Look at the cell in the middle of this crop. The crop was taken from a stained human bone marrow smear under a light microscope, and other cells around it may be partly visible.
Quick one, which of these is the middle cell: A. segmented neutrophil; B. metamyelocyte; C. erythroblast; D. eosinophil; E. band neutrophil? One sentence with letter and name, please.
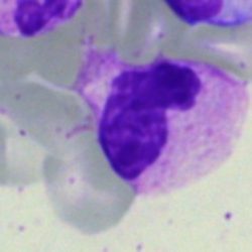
The cell placed in the middle is a segmented neutrophil; option A is correct.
